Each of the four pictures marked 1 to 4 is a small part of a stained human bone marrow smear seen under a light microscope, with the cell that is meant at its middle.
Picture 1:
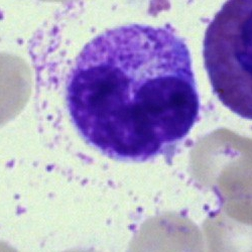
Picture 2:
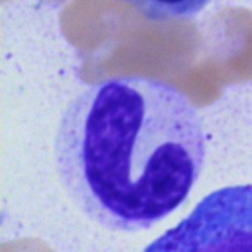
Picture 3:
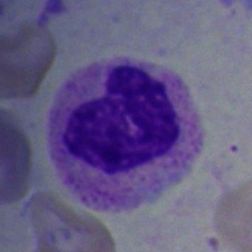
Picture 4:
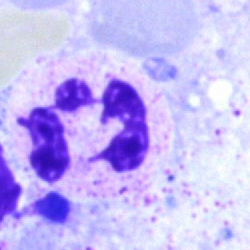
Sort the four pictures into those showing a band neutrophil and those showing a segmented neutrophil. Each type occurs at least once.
1: band neutrophil
2: band neutrophil
3: band neutrophil
4: segmented neutrophil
